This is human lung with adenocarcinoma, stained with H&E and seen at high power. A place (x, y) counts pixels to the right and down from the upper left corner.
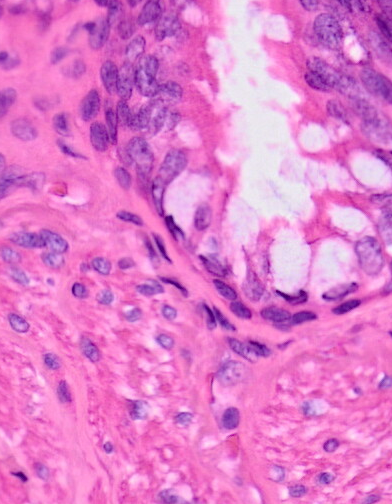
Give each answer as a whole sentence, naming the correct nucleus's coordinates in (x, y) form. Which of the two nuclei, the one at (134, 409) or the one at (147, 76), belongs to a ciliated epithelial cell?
That would be the nucleus at (147, 76); it belongs to a ciliated epithelial cell.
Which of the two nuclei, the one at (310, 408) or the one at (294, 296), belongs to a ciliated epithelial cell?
The nucleus of a ciliated epithelial cell is the one at (294, 296).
